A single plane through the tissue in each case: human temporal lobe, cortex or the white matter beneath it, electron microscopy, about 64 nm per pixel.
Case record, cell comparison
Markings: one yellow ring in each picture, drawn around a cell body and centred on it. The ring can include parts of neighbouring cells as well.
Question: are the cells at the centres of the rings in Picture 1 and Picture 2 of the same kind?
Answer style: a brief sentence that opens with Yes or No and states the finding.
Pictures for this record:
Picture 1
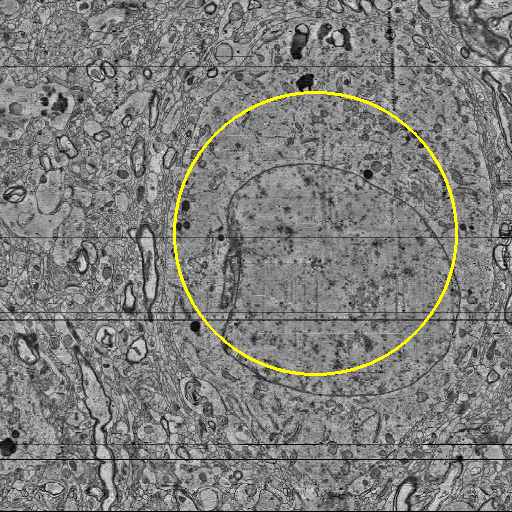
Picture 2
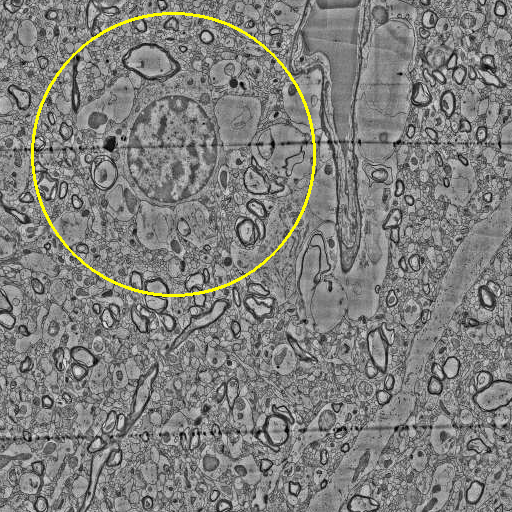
No, the cells in Picture 1 and Picture 2 are of two kinds.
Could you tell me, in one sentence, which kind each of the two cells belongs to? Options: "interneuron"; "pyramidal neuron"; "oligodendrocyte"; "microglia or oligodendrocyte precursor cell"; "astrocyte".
At the centre of the first ring sits a pyramidal neuron, and at the centre of the second sits an oligodendrocyte.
